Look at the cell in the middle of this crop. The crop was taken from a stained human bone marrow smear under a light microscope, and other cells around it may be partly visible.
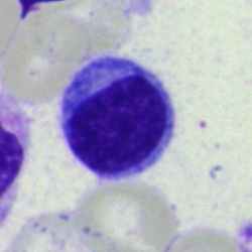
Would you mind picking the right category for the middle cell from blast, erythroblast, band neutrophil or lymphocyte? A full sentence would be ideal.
This particular crop is centered on a lymphocyte.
